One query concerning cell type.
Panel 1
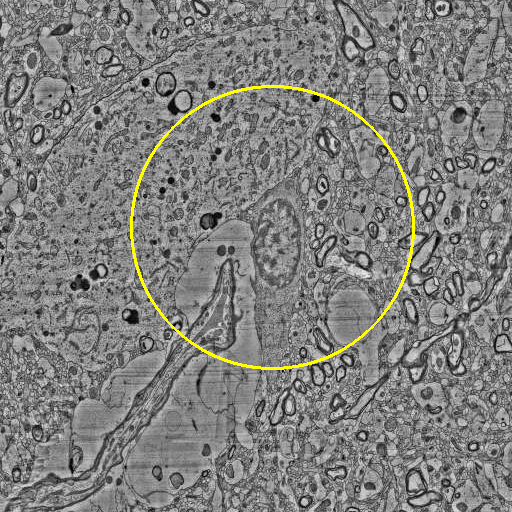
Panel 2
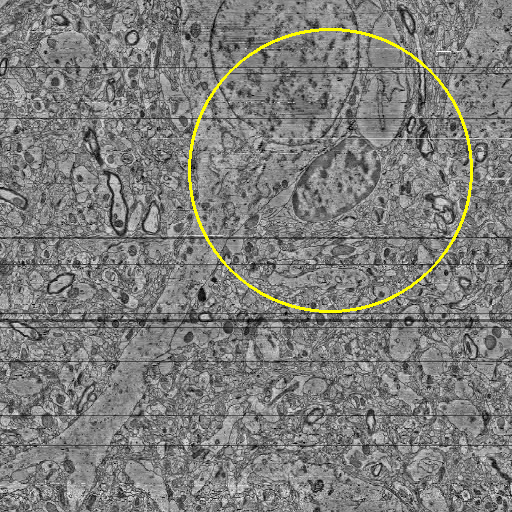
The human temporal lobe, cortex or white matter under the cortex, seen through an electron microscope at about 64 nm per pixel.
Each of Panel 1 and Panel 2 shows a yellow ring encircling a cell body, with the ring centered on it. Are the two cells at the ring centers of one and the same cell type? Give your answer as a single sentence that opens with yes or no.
No, the cell centered in Panel 1 and the one in Panel 2 are of two types.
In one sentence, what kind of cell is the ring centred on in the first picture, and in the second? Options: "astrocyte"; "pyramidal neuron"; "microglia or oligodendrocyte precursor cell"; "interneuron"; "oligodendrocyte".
The cell at the centre of the second ring is a microglial cell or oligodendrocyte precursor cell; the first ring's cell is an oligodendrocyte.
